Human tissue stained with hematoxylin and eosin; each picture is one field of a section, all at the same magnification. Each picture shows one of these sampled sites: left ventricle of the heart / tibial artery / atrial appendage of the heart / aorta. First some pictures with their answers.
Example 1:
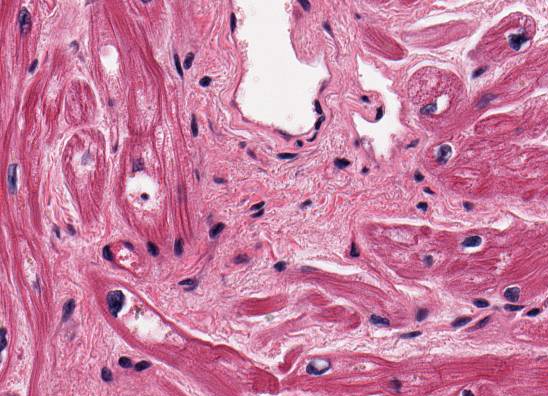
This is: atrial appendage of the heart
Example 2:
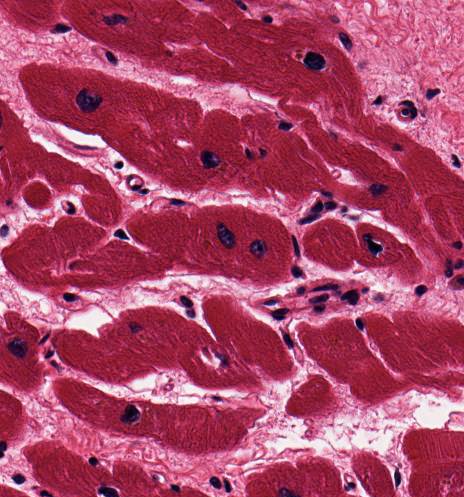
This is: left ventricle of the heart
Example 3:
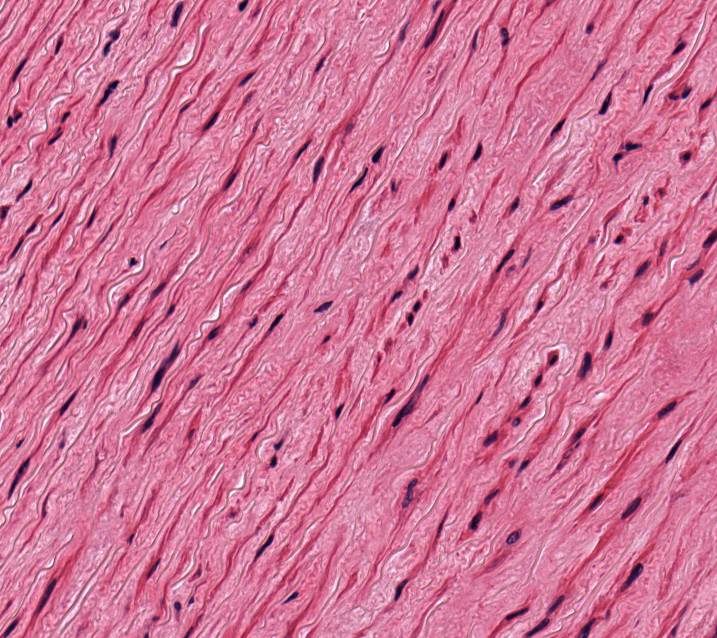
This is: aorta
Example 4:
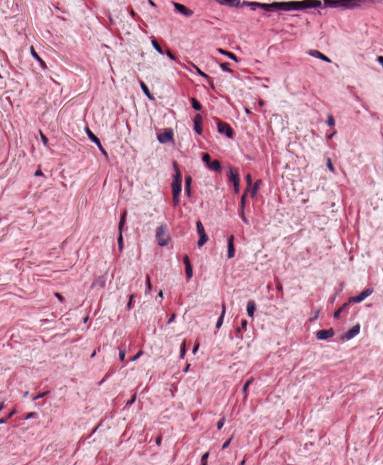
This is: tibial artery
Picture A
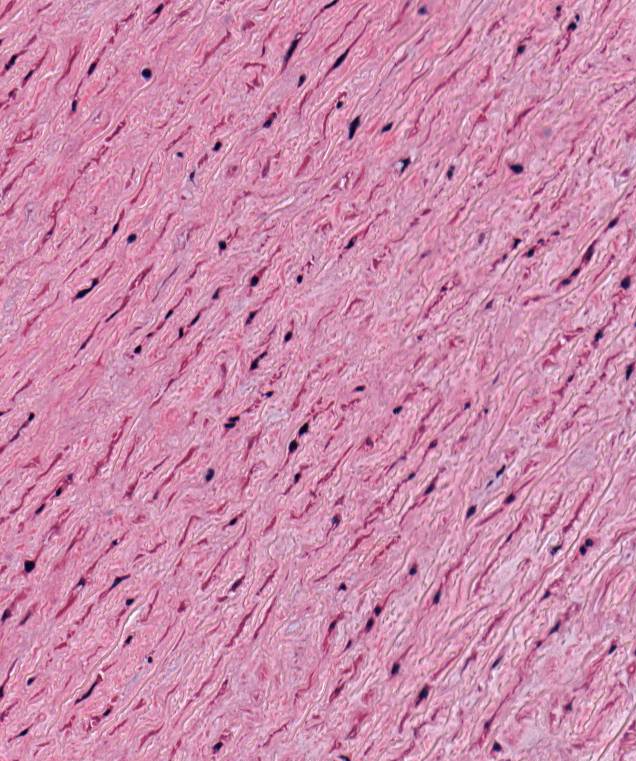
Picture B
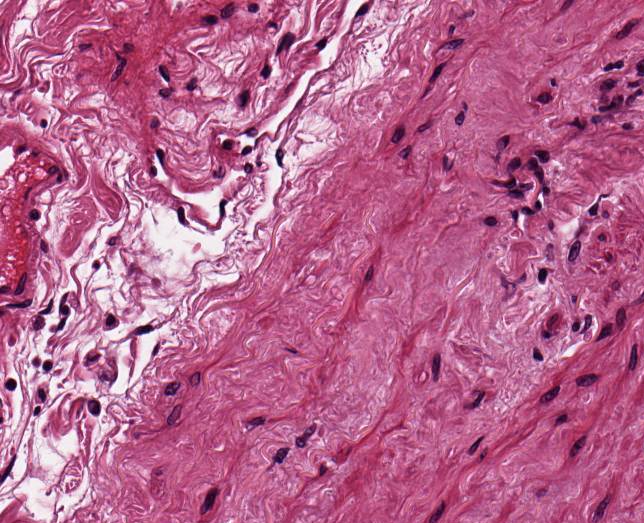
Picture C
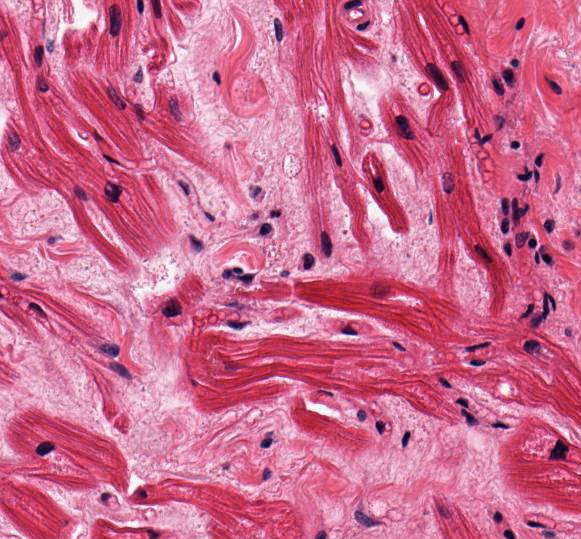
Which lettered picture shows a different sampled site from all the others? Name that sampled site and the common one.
Exception: C, showing atrial appendage of the heart. Remaining pictures: aorta.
